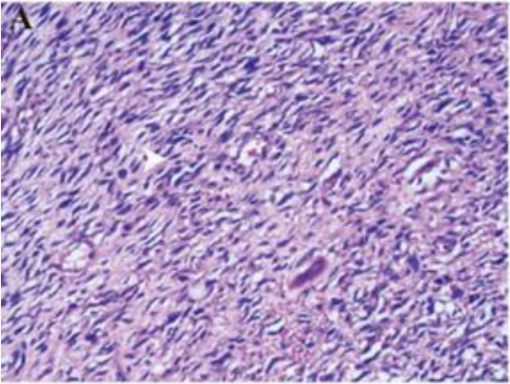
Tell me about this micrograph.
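A cellular tumor made up mostly of spindle cells, with some plumper epithelioid cells and cells with pale, clear cytoplasm. The spindle cells have elongated, dark purple, tapering nuclei and scant pink cytoplasm, and are packed closely in streaming, interlacing fascicles. Scattered among them are cells with rounder or plumper nuclei and small clear spaces in the cytoplasm. Occasional larger, darker nuclei stand out. There is little intervening stroma and no organised normal tissue architecture; the field is a sheet of tumor cells with thin vessels running between them.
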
